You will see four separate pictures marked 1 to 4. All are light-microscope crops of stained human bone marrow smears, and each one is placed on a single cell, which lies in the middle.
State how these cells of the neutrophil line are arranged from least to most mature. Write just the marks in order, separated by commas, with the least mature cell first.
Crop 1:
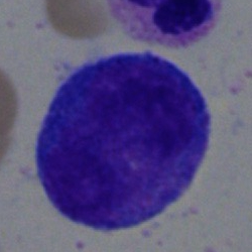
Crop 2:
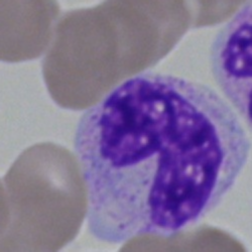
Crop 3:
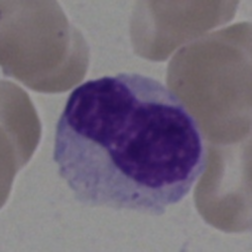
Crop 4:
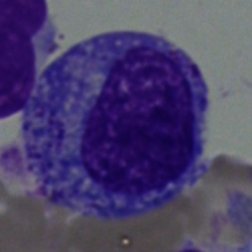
1, 4, 3, 2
